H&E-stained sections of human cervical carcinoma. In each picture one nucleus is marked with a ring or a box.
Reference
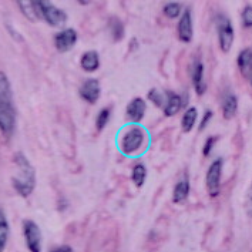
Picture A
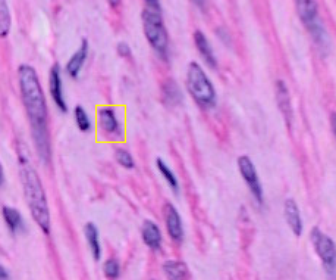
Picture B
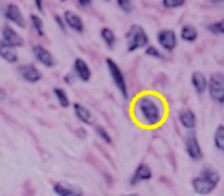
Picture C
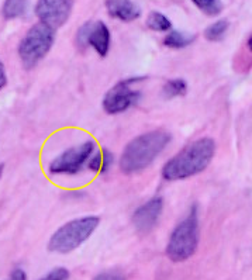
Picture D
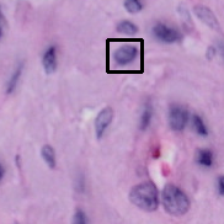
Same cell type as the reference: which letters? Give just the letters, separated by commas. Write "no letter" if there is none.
A, B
